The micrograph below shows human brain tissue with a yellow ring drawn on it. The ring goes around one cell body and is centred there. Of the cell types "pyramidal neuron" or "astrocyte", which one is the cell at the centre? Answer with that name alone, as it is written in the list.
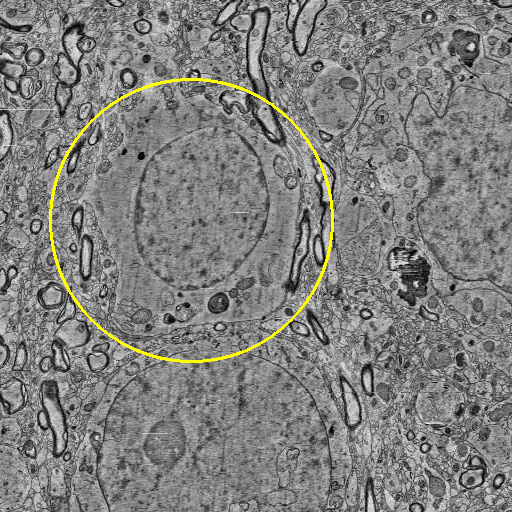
astrocyte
